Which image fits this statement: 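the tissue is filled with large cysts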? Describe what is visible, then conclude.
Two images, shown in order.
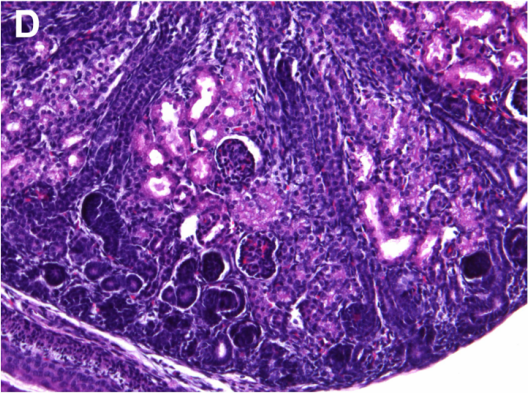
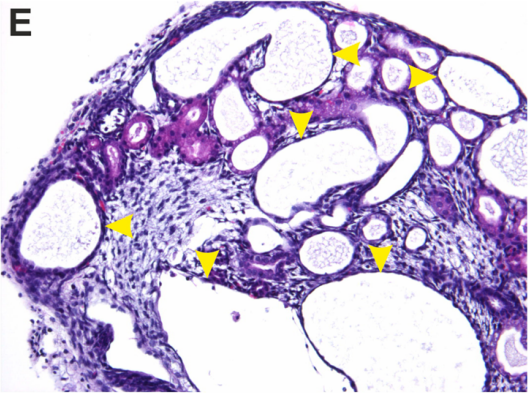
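Second image: many large empty rounded spaces lined by thin epithelium. First image: densely cellular tissue with small tubules and no large spaces. On this evidence: the second image.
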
